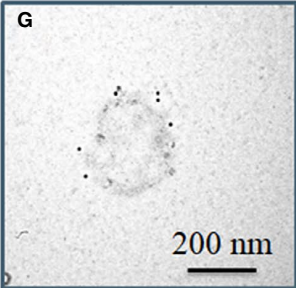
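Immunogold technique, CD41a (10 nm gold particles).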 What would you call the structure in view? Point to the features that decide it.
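Microparticles. Few black gold dots on its edge.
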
